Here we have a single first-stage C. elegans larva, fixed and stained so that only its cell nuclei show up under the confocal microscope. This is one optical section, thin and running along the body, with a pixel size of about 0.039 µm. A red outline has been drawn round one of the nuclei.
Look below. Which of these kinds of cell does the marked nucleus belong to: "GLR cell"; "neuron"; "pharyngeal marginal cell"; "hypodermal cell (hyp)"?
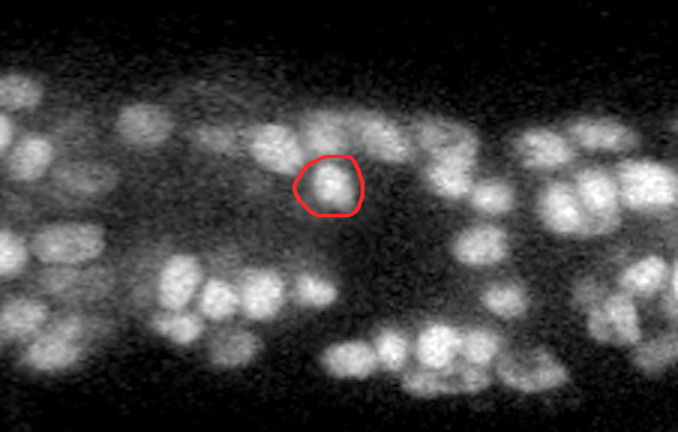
GLR cell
